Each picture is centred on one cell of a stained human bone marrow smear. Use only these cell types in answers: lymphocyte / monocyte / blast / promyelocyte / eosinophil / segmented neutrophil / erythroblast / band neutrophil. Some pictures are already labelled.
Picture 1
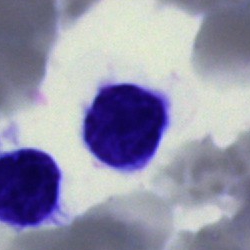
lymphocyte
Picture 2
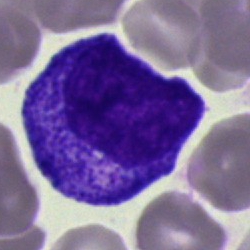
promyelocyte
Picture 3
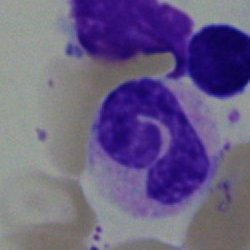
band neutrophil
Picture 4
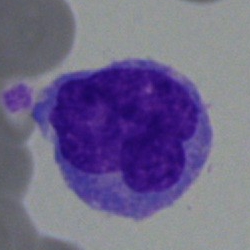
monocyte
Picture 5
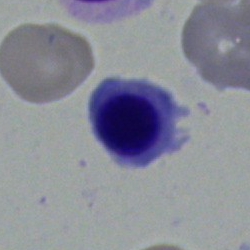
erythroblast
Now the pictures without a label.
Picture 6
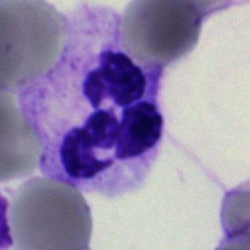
segmented neutrophil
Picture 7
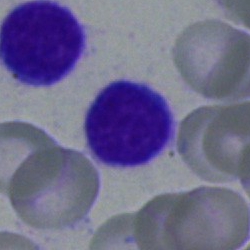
lymphocyte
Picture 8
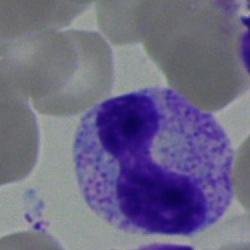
band neutrophil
